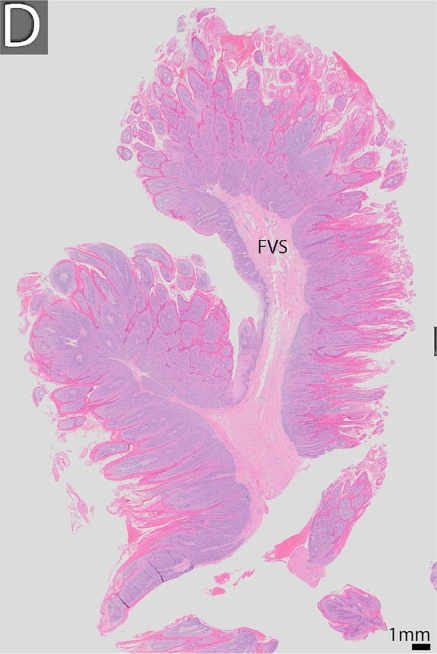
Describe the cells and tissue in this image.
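This is a low-power view of an exuberant epithelial growth thrown into papillary fronds. A pale pink central stalk of connective tissue runs up the middle and branches into the fronds. Each frond is covered by a thick band of purple-staining epithelium. The outer surfaces carry layers of pink keratin, giving the edges a streaked pink fringe. The overall shape is a branching, cauliflower-like mass.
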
